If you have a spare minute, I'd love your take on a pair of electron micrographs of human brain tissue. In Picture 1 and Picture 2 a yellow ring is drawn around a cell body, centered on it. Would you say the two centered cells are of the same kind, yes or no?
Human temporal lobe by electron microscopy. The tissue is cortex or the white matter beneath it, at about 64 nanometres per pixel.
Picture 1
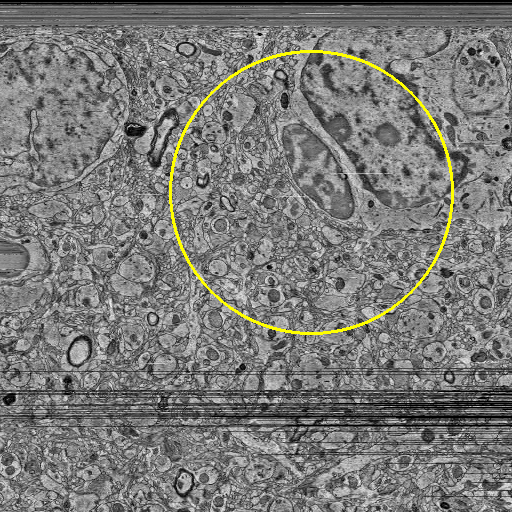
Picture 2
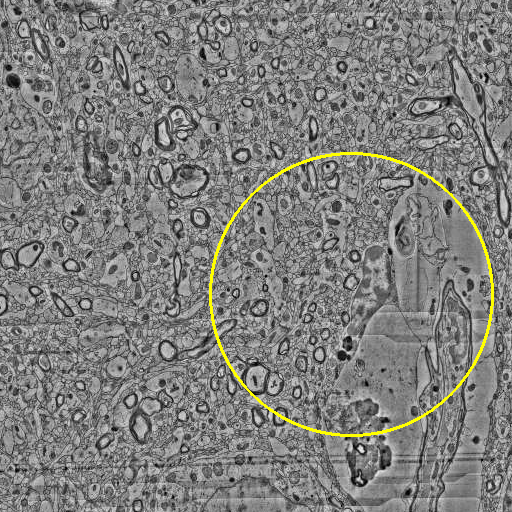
yes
